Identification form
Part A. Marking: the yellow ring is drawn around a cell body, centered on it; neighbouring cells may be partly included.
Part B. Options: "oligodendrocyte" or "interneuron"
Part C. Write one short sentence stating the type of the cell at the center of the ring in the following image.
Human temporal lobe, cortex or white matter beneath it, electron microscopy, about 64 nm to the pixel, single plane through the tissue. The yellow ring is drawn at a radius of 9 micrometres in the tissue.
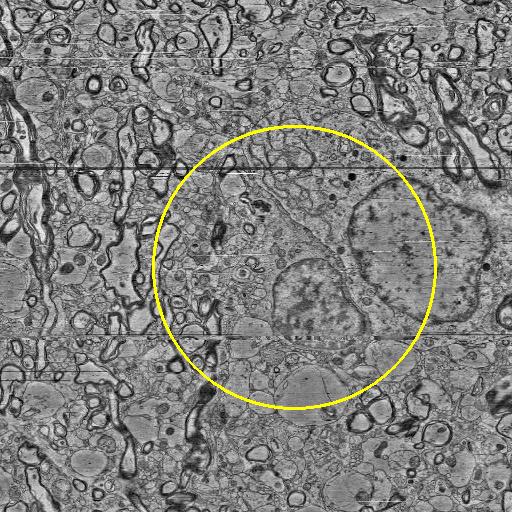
The center of the ring holds an oligodendrocyte.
